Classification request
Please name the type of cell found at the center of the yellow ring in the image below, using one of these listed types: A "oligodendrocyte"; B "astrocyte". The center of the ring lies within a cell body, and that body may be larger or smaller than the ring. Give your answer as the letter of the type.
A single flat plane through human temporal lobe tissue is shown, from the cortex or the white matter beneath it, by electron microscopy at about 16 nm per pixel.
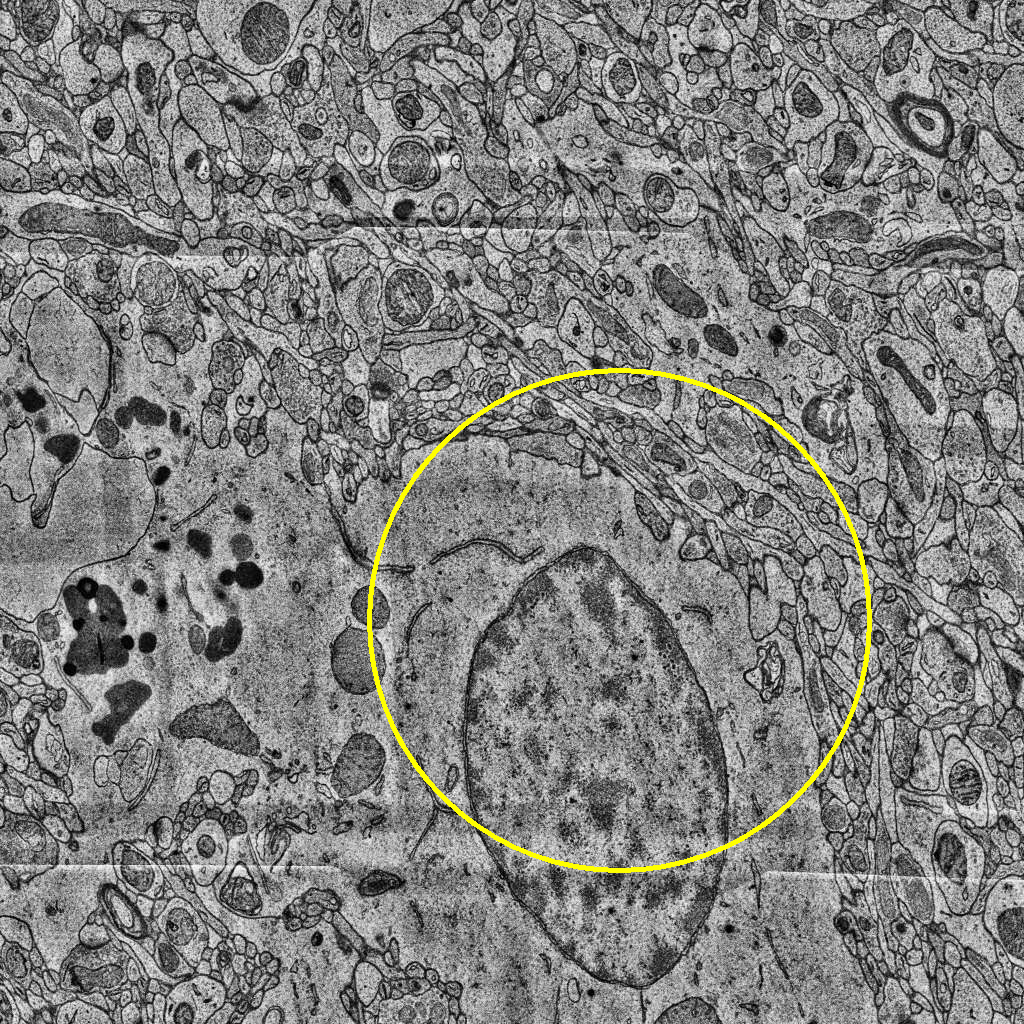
B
